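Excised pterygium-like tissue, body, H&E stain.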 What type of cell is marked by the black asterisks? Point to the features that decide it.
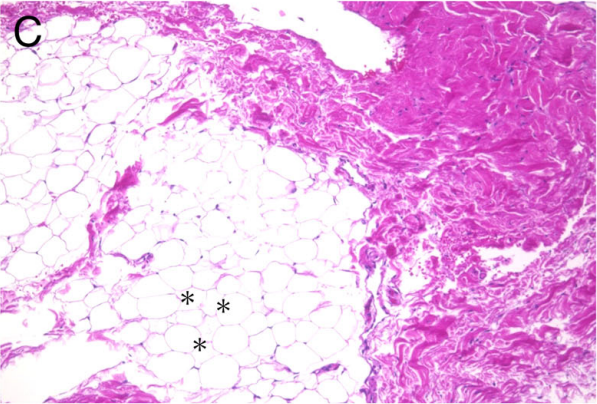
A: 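Large empty polygonal cells with thin membranes. Cells are packed together like a honeycomb.
Conclusion: mature adipose cells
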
